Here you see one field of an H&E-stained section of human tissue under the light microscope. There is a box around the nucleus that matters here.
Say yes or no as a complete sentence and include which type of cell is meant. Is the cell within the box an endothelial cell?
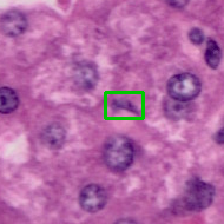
Yes, the cell within the box is assigned the identity of an endothelial cell.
